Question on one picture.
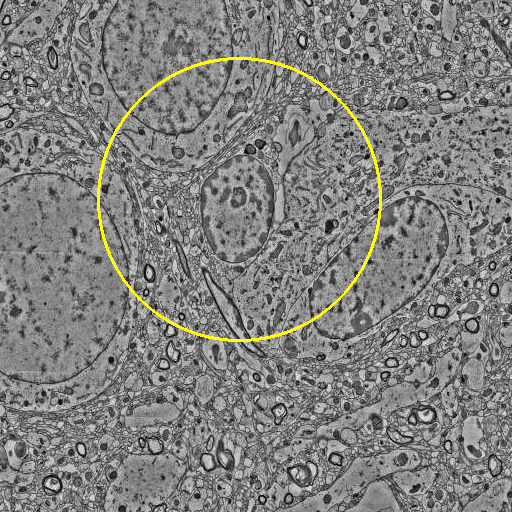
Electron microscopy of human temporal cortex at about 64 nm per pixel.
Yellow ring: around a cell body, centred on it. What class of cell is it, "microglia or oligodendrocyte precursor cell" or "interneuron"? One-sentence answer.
This is a microglial cell or oligodendrocyte precursor cell, the cell the ring is centred on.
